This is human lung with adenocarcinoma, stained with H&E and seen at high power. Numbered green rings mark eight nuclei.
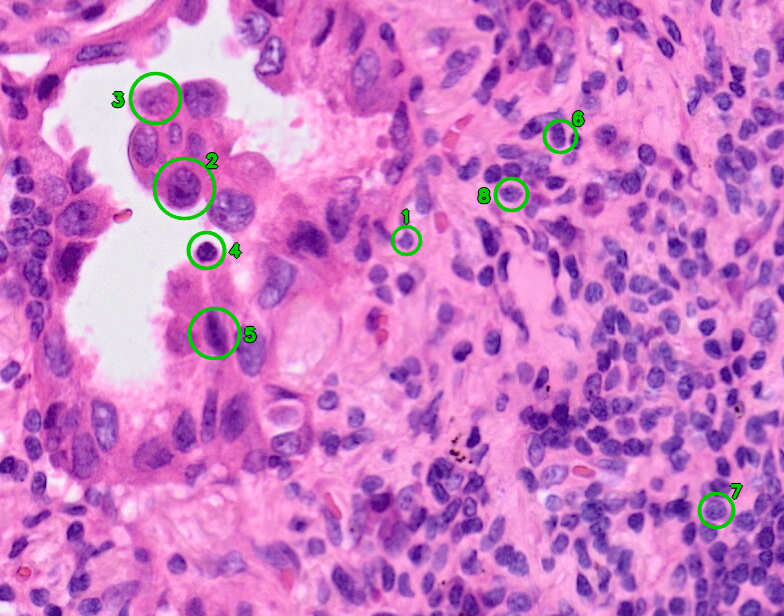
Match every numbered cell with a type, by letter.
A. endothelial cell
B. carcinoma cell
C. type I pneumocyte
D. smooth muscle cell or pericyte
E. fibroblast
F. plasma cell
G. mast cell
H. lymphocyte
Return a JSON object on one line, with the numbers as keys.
{"1": "H", "2": "B", "3": "B", "4": "H", "5": "B", "6": "H", "7": "H", "8": "H"}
